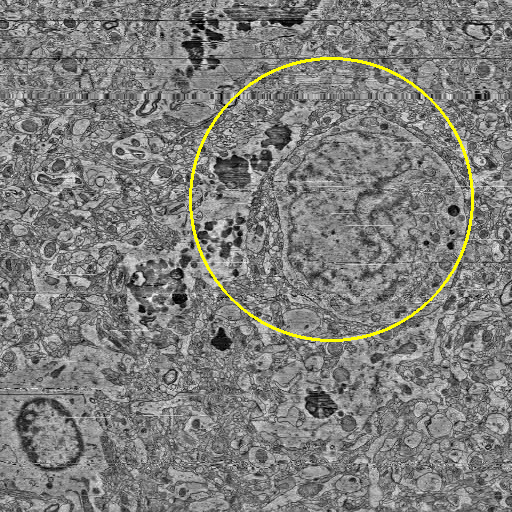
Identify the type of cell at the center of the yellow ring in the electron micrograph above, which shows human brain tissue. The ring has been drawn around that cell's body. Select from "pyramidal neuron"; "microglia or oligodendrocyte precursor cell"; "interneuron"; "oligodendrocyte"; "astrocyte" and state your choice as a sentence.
The yellow ring is centered on the body of an interneuron.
